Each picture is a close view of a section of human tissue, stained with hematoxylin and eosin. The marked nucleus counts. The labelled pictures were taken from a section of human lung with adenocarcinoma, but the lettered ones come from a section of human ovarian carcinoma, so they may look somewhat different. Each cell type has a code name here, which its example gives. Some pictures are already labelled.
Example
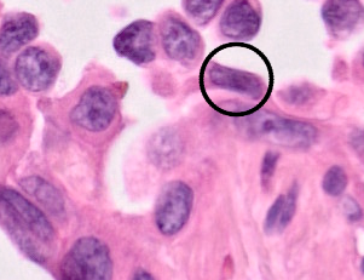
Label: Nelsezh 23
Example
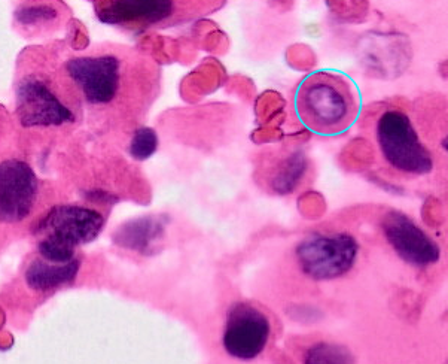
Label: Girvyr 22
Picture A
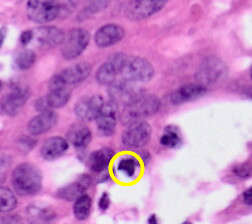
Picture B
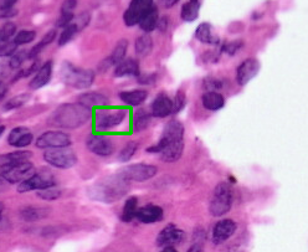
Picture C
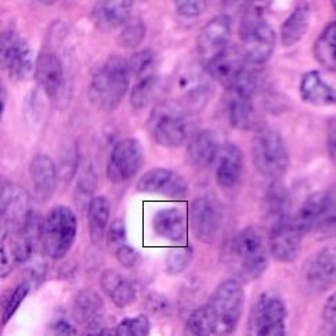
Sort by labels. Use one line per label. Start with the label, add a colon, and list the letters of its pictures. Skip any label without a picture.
Nelsezh 23: A, B, C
